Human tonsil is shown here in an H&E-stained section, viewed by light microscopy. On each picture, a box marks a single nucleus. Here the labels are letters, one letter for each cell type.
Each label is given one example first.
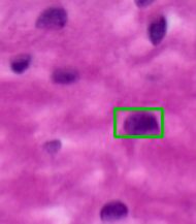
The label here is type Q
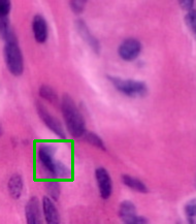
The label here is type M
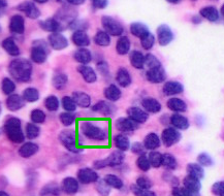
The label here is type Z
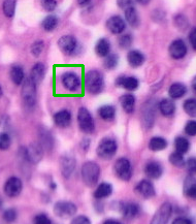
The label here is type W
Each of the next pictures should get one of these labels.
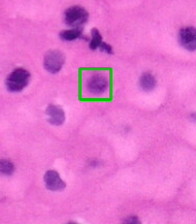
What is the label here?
type Q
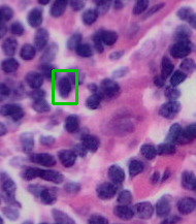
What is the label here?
type Z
